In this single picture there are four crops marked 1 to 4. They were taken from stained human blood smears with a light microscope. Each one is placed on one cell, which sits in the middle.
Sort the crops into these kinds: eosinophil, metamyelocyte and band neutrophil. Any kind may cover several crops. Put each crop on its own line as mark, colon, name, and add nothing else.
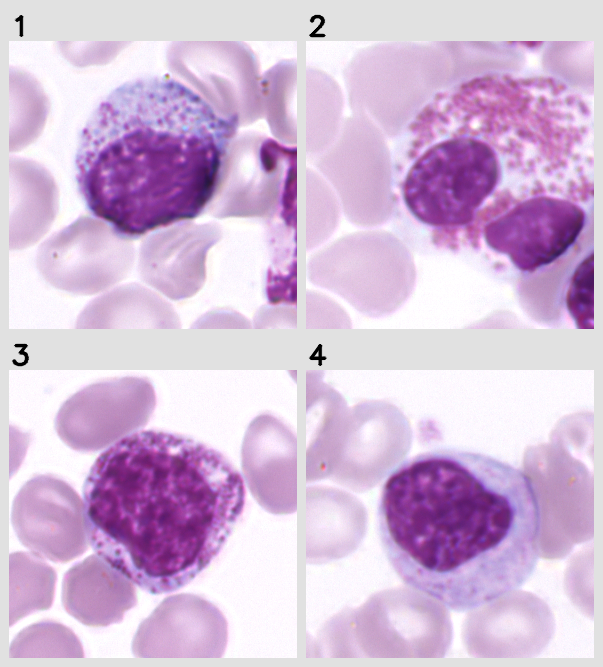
1: metamyelocyte
2: eosinophil
3: metamyelocyte
4: metamyelocyte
